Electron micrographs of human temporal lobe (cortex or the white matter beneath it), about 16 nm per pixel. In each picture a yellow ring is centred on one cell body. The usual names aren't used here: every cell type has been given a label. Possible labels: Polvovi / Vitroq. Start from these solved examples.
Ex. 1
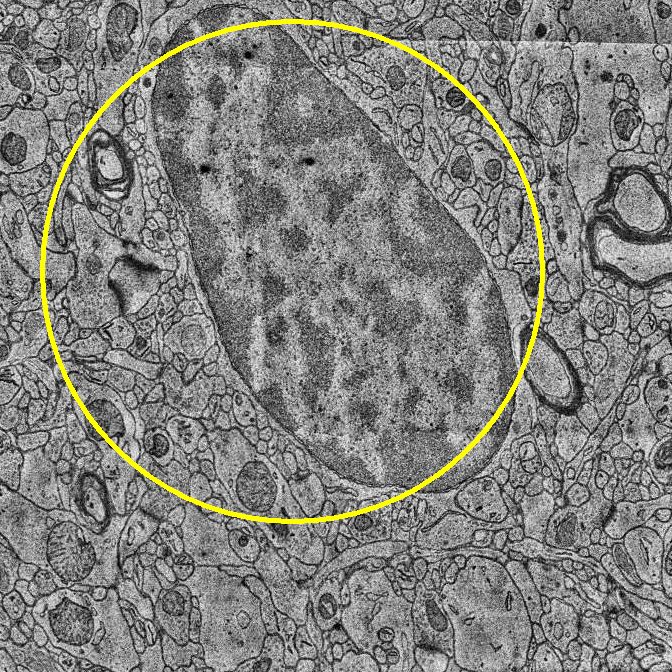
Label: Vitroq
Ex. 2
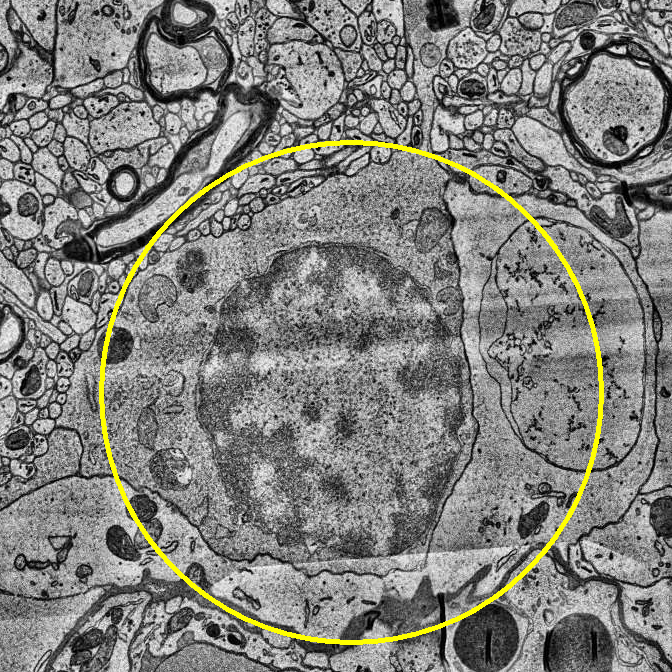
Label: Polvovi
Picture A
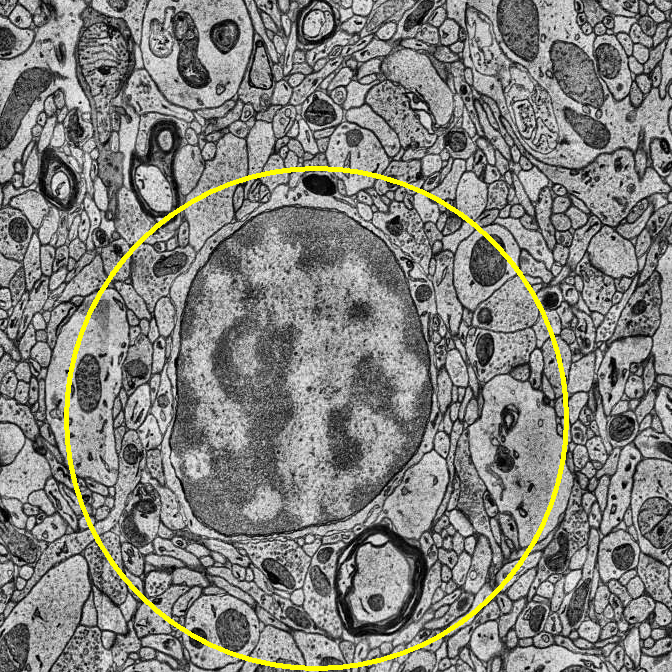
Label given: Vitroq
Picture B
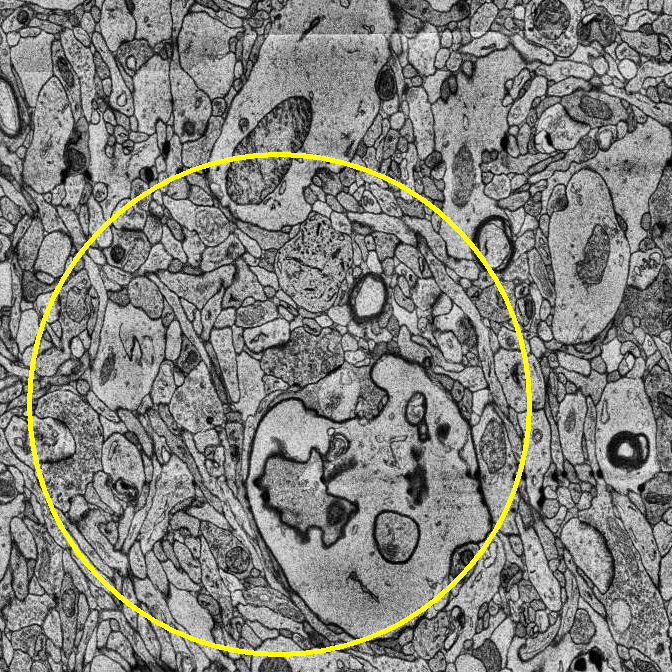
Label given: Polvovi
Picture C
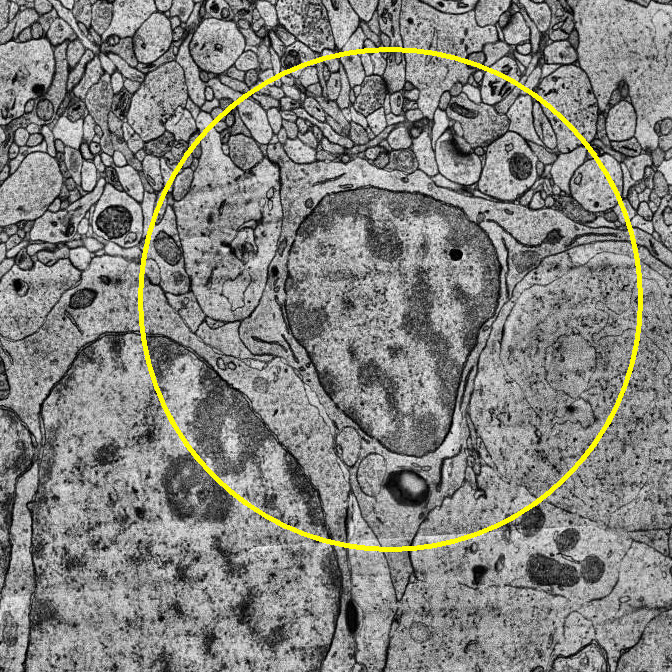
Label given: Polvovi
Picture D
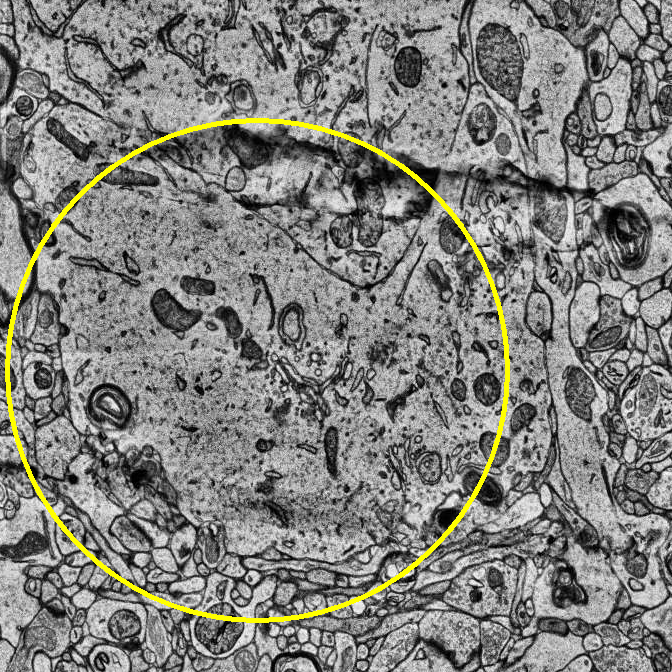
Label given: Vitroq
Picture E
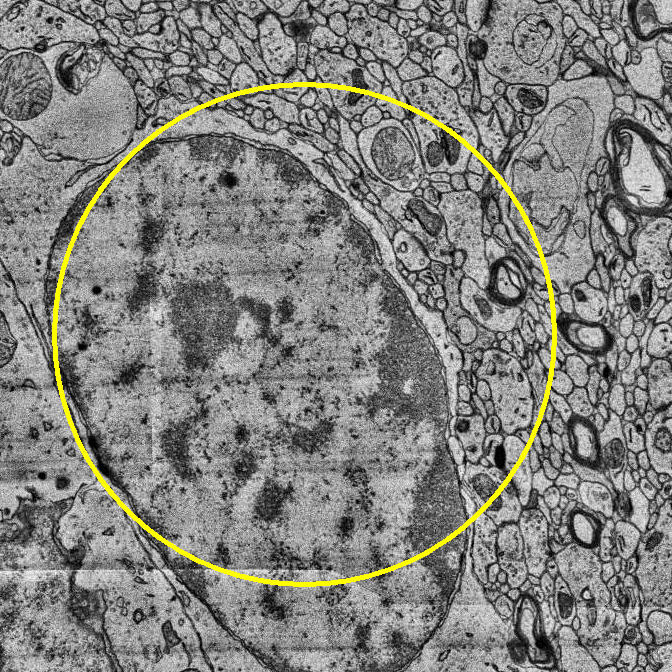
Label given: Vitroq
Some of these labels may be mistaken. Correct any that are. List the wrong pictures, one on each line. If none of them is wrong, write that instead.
C: not Polvovi but Vitroq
